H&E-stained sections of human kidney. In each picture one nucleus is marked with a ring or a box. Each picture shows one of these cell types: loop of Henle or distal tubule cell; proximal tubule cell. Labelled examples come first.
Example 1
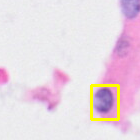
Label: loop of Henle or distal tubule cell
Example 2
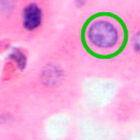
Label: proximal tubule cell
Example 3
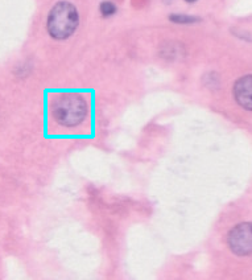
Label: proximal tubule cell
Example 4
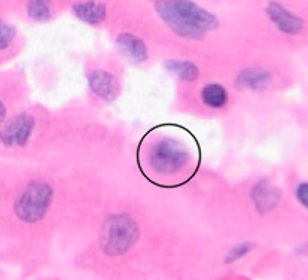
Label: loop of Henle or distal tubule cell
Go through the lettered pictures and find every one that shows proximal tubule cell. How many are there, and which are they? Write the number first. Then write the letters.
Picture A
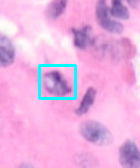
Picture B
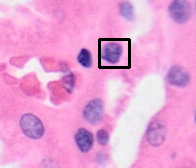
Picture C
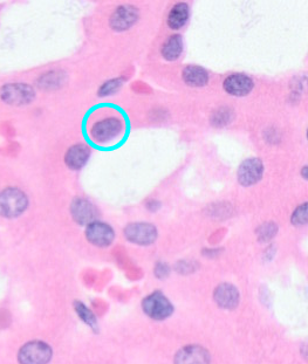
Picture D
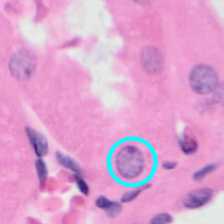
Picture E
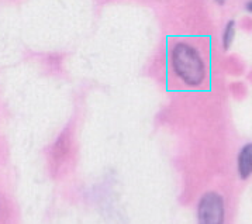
Count: 2 (D, E)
